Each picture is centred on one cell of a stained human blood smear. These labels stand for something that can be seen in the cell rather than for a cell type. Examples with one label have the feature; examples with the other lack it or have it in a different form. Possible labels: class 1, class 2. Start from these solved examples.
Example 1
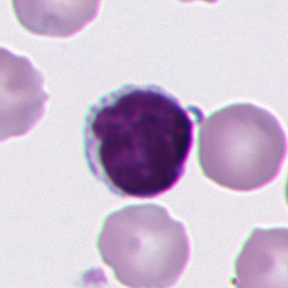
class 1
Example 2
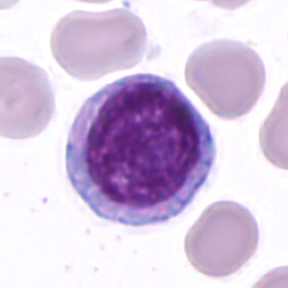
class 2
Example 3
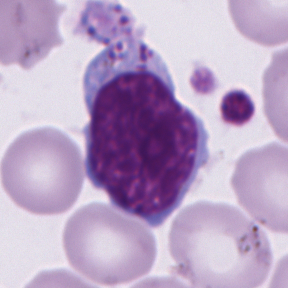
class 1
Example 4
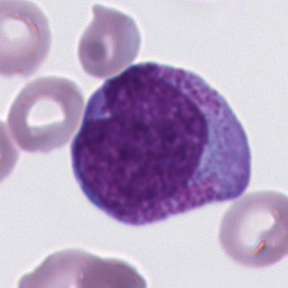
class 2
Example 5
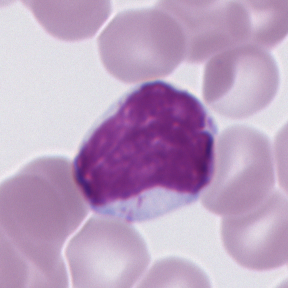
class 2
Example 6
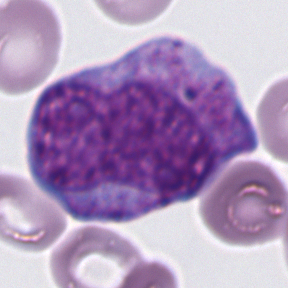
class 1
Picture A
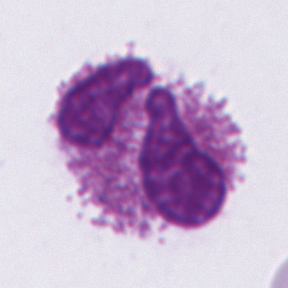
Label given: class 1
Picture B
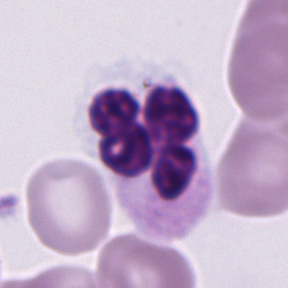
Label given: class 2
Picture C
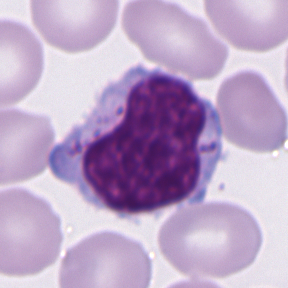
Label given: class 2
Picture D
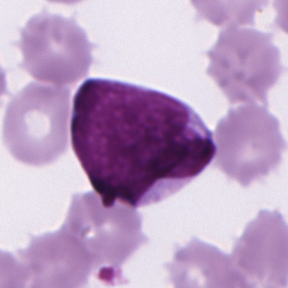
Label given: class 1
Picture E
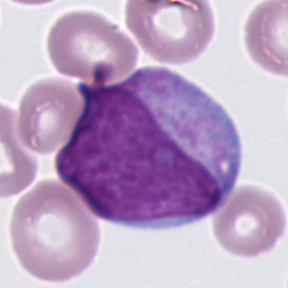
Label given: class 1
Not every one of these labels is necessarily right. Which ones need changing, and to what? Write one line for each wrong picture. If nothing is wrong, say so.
B: class 1, not class 2
C: class 1, not class 2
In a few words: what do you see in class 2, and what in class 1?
Seen in class 2: smooth outline; seen in class 1: ragged outline or projections.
